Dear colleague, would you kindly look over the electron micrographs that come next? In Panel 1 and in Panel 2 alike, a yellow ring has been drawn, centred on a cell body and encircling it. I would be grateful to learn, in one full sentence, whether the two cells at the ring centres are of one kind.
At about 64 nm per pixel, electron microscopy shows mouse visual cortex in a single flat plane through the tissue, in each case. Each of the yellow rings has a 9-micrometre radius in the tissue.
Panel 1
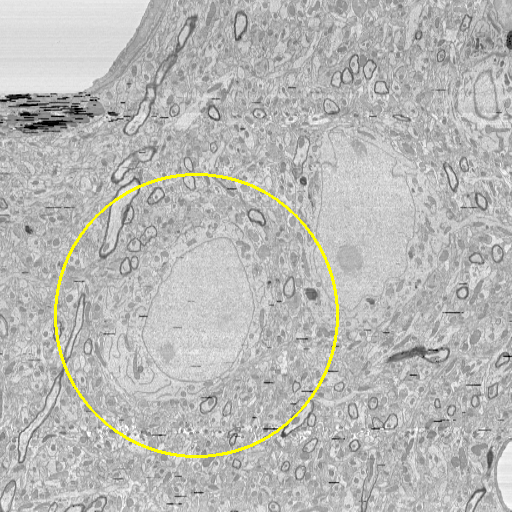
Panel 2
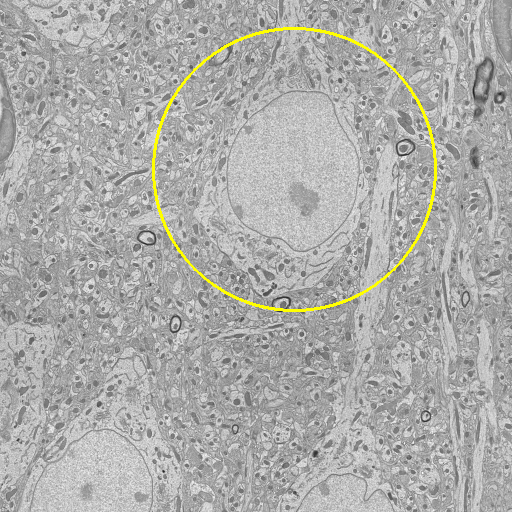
Yes, the cells in the middle of the rings in the two panels are of one kind.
